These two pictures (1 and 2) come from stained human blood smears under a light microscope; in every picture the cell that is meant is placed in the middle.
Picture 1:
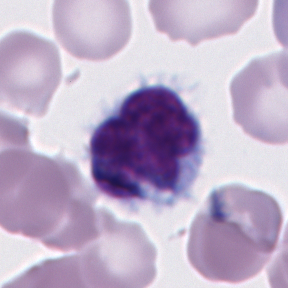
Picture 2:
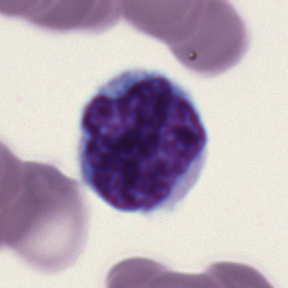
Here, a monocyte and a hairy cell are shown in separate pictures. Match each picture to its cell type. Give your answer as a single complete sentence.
In picture 1 the cell is a hairy cell; in picture 2, a monocyte.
